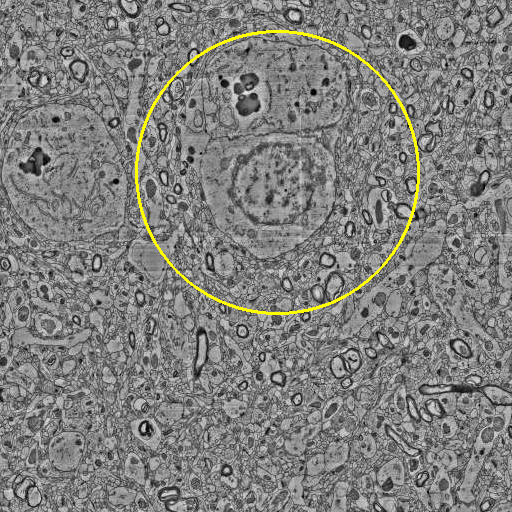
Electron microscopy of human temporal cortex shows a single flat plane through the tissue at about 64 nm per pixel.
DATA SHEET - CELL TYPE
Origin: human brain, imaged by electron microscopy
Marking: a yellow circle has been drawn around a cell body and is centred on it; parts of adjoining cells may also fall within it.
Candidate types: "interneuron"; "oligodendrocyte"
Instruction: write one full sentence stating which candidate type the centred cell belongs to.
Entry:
The cell body at the centre of the yellow ring in this micrograph belongs to an interneuron.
